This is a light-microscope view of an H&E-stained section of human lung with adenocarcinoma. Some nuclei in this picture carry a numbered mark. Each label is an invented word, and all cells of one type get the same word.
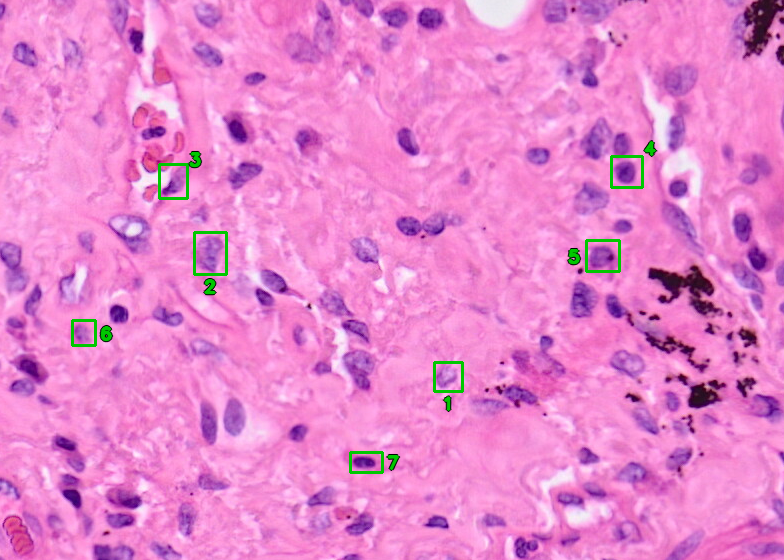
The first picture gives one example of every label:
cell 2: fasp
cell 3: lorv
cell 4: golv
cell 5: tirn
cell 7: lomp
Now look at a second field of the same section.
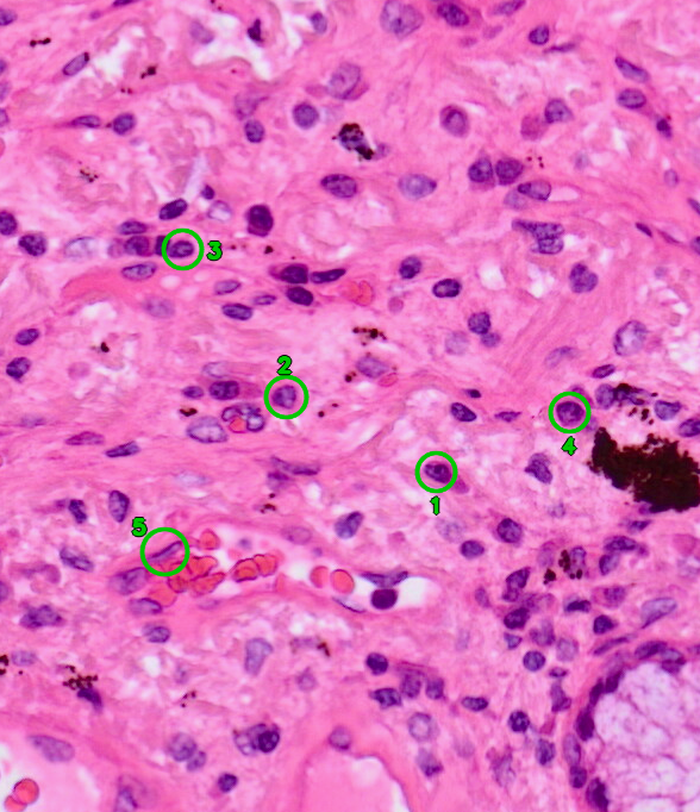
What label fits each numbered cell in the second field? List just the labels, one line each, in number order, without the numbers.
tirn
lomp
golv
tirn
lorv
